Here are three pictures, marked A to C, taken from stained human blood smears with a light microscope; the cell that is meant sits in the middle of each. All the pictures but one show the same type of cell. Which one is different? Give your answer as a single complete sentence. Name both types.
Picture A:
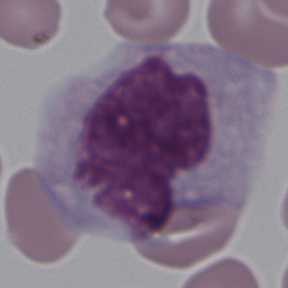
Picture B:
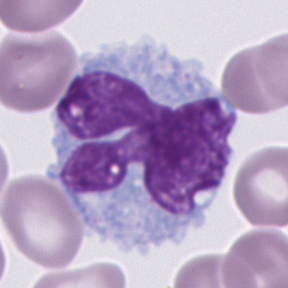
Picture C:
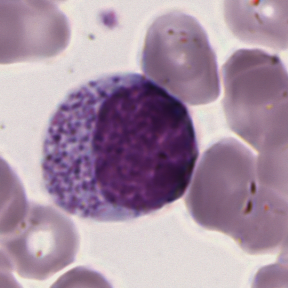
All pictures except C show monocytes; picture C shows a myelocyte.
